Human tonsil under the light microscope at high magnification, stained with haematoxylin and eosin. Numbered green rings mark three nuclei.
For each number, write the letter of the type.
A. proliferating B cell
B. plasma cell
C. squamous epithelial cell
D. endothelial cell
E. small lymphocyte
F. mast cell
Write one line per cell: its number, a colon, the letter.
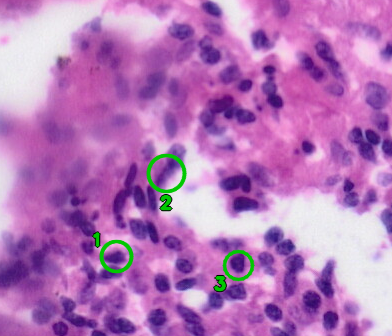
1: C
2: C
3: B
